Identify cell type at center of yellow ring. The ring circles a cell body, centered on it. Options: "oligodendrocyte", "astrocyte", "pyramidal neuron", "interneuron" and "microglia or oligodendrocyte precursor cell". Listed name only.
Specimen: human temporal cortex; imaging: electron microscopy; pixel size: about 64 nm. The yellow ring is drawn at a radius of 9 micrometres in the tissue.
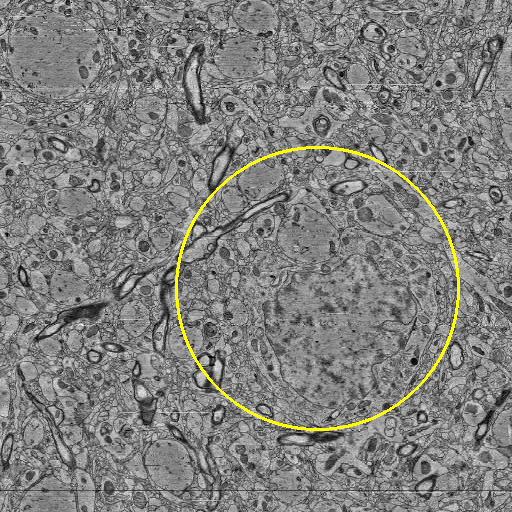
interneuron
